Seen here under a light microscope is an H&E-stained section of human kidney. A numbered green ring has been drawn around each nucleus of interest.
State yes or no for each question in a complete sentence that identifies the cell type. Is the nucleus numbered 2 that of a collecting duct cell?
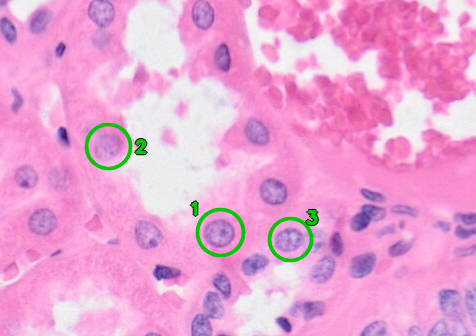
No, the cell with number 2 is not a collecting duct cell but a proximal tubule cell.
